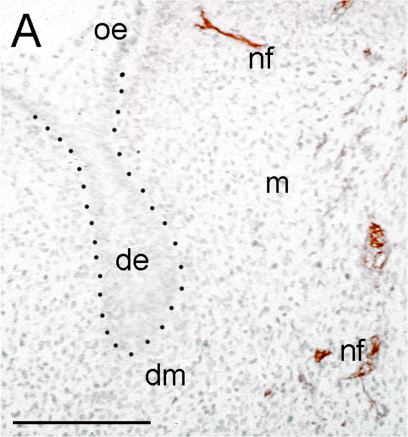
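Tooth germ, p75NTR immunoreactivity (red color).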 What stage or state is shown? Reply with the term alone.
bud stage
